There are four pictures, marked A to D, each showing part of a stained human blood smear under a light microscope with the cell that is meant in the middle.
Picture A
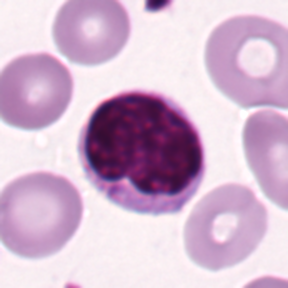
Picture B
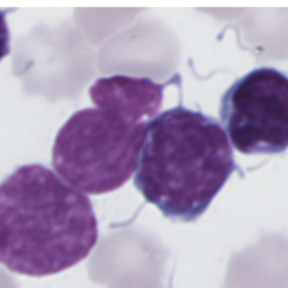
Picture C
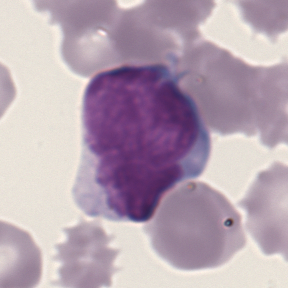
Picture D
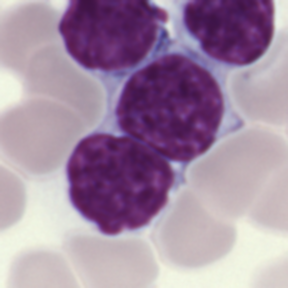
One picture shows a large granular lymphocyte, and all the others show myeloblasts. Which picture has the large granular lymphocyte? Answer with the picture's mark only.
A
